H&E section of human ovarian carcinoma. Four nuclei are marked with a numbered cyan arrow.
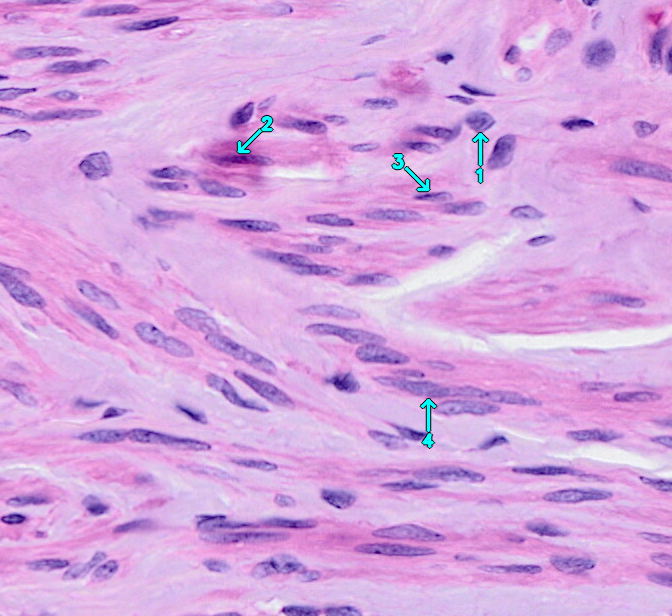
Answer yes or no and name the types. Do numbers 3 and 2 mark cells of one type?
Yes, sure, cells 3 and 2 are both smooth muscle cells.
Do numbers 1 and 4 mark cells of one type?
No, classify cell 1 as a fibroblast and cell 4 as a smooth muscle cell.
